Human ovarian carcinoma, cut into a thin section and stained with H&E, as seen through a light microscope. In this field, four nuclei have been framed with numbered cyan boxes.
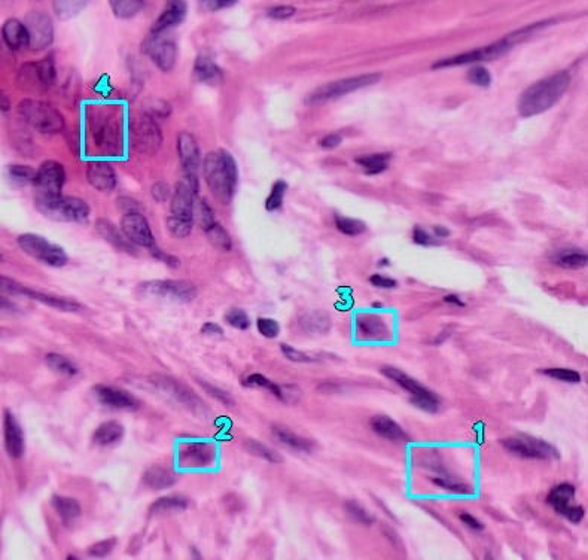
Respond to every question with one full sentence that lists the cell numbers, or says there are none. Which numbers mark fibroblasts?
The cells identified by the numbers 1, 2 and 3 are fibroblasts.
